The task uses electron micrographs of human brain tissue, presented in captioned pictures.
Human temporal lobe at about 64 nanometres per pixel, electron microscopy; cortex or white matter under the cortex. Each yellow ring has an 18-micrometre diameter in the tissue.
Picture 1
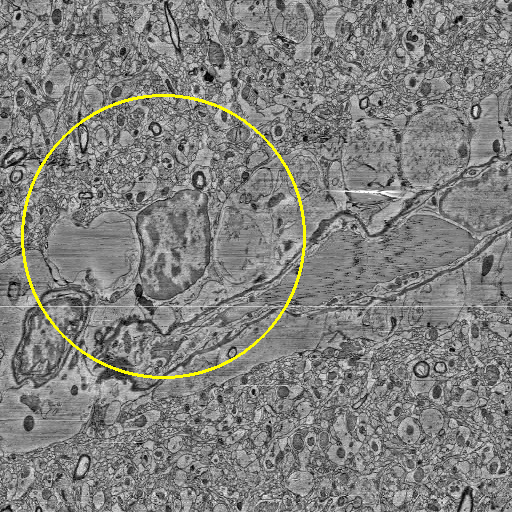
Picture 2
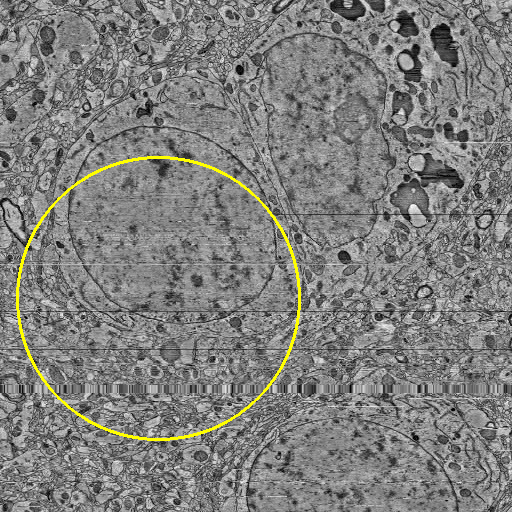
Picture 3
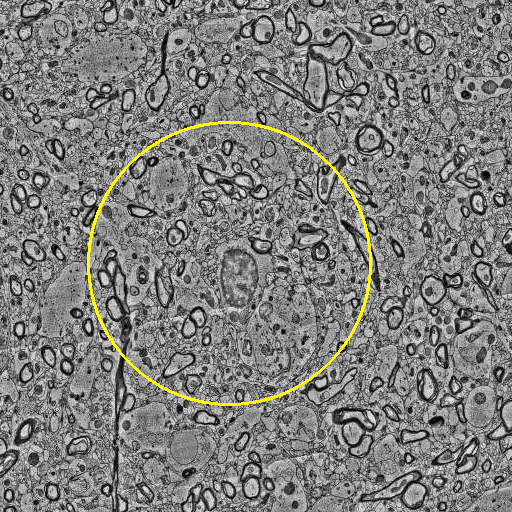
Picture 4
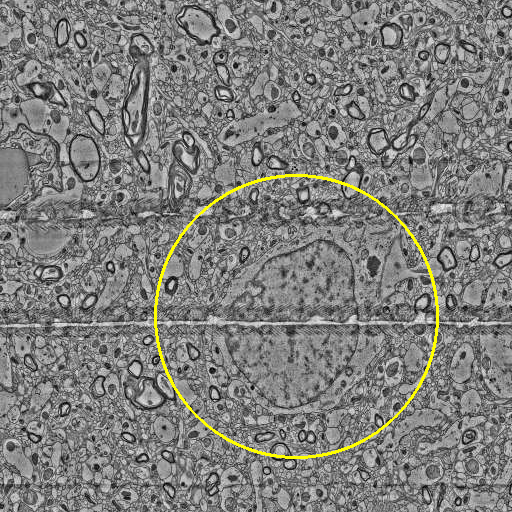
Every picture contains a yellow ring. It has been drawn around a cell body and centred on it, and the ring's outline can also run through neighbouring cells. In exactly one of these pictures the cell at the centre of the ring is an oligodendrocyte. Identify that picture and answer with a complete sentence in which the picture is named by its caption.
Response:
The ring in Picture 3 is centred on that kind of cell.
